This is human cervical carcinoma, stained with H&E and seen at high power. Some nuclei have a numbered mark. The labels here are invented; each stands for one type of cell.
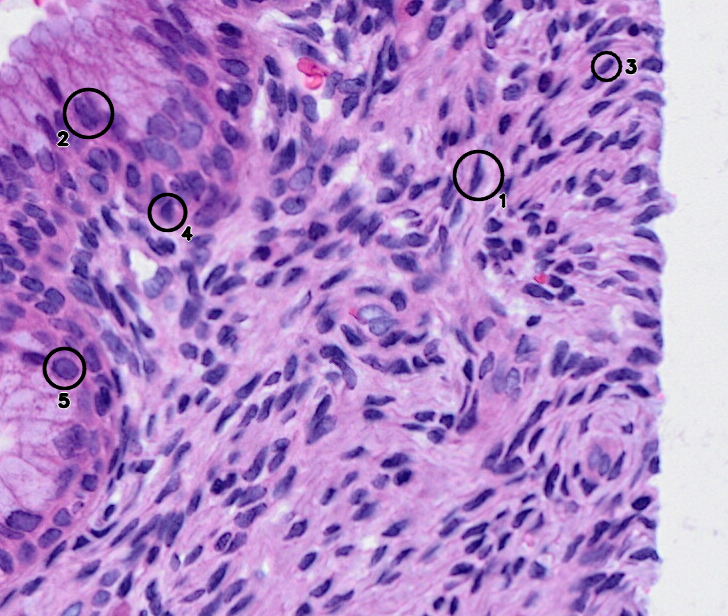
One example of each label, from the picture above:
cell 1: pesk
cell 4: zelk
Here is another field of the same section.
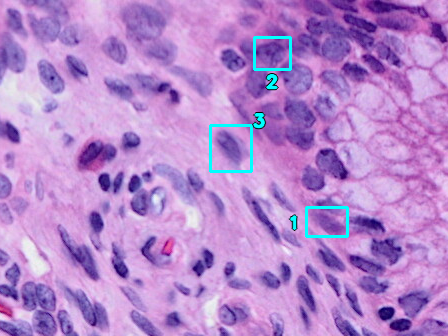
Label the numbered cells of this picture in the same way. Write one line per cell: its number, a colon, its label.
1: zelk
2: zelk
3: pesk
